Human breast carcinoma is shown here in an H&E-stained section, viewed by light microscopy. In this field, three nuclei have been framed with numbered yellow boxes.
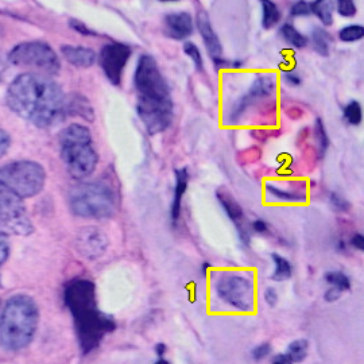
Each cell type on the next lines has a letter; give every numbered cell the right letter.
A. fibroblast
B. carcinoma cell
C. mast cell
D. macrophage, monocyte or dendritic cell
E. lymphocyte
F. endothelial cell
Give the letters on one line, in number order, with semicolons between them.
D; F; F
